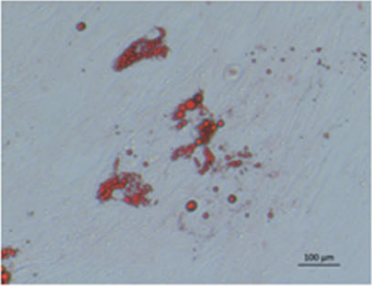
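Only a few small, irregular groups of cells hold round red droplets, and these droplets are mostly small and scattered. Around them, most of the field is a faint layer of flat, elongated, spindle-like cells lying side by side without any red stain.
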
